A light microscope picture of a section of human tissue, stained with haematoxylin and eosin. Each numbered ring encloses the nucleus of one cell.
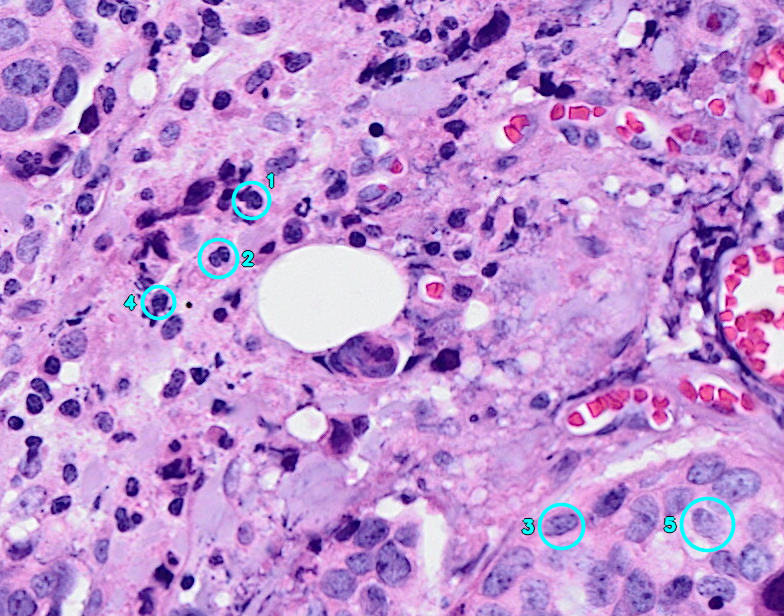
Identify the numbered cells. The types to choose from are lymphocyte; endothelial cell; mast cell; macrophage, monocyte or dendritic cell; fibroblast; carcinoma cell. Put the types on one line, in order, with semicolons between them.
lymphocyte; lymphocyte; carcinoma cell; lymphocyte; carcinoma cell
